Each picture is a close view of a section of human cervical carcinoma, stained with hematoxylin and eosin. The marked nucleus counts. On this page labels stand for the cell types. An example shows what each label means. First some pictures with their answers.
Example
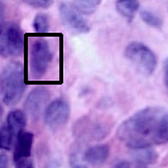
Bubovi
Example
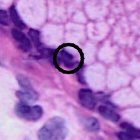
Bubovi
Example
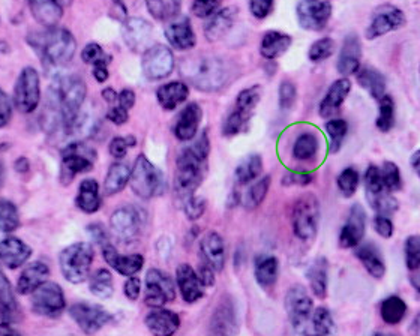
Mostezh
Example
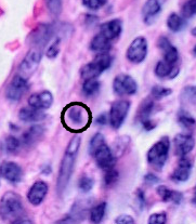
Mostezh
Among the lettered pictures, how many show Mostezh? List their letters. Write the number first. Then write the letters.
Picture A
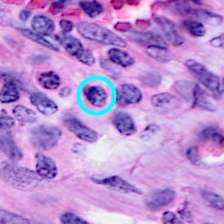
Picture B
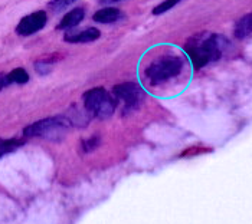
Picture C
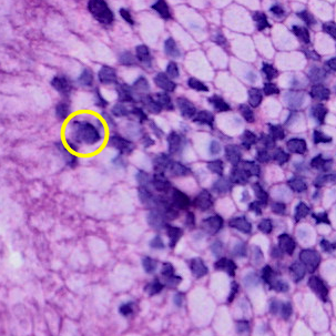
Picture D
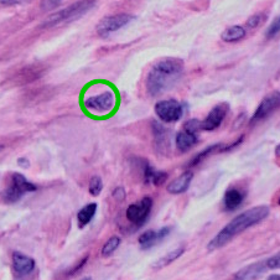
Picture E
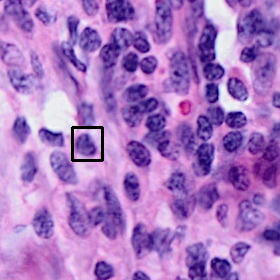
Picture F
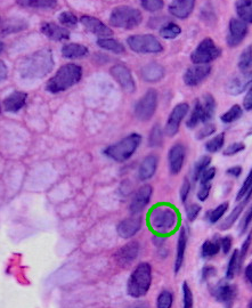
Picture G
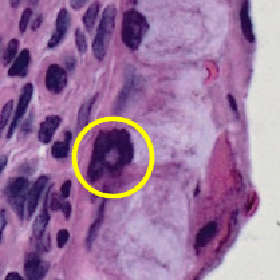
3, namely A, D, E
